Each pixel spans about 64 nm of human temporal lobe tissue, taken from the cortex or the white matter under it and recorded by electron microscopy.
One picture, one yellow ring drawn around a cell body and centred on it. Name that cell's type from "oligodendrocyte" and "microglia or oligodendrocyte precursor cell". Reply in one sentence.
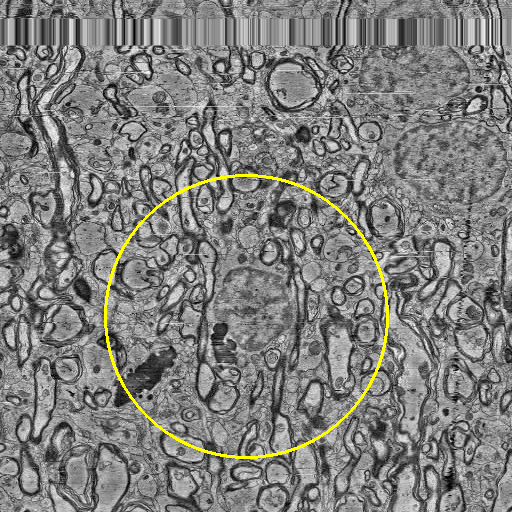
Centred in the ring is an oligodendrocyte.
